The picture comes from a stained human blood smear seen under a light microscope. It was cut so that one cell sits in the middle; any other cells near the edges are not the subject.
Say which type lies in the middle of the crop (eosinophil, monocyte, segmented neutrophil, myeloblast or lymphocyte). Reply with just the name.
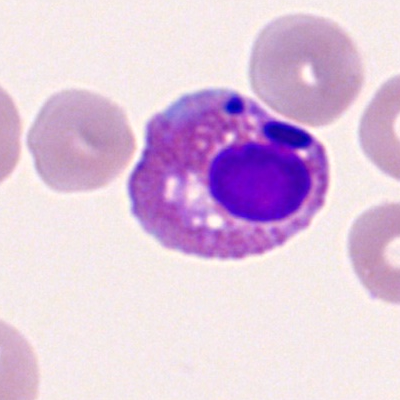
eosinophil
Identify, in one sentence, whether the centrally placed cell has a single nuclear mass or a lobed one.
The nucleus holds together as a single compact mass, round, oval or kidney-like.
